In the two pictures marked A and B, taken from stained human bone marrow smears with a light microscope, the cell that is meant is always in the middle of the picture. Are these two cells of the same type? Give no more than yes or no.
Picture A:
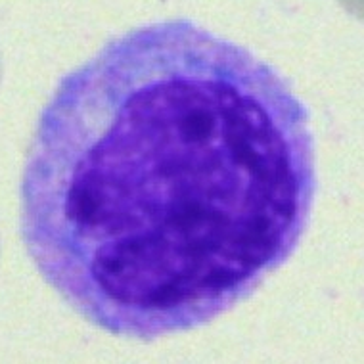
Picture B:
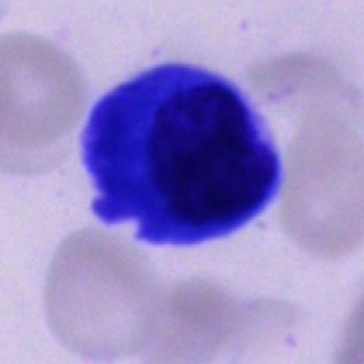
no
